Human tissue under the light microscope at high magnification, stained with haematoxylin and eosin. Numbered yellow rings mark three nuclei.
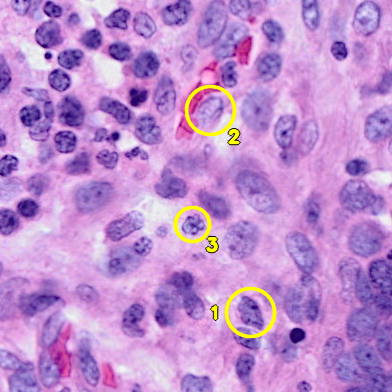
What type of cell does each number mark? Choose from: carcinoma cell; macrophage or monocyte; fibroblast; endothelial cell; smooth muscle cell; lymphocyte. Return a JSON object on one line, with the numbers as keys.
{"1": "macrophage or monocyte", "2": "endothelial cell", "3": "lymphocyte"}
